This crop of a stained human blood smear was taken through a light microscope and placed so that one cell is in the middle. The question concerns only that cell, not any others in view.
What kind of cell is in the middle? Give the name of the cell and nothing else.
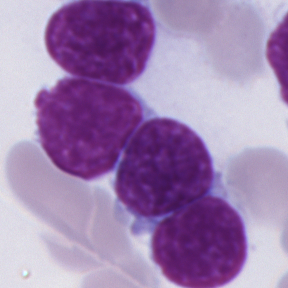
myeloblast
